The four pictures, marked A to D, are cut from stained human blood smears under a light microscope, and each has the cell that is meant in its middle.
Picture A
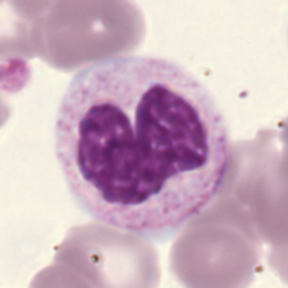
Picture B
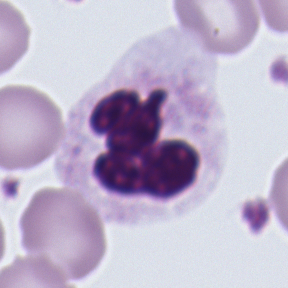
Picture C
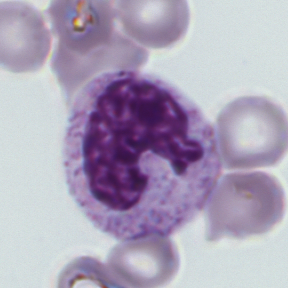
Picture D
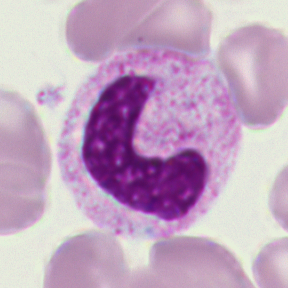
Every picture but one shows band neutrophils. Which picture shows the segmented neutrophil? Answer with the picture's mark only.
B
